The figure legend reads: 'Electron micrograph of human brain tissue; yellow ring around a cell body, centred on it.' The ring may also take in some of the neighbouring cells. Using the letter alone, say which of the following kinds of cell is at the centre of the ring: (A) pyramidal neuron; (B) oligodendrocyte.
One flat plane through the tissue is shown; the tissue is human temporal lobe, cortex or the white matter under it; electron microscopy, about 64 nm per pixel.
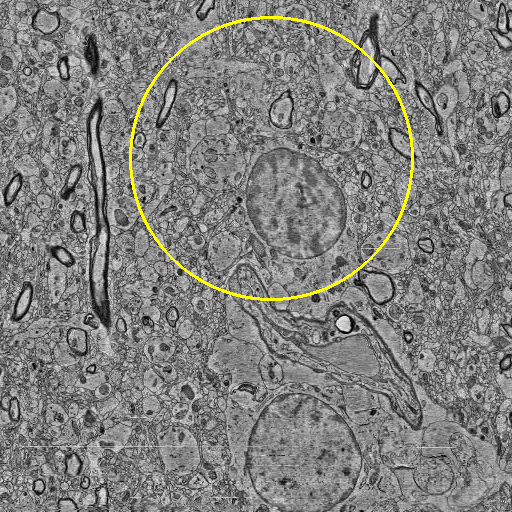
B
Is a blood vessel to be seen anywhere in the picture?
Yes, a vessel shows somewhere in the image.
